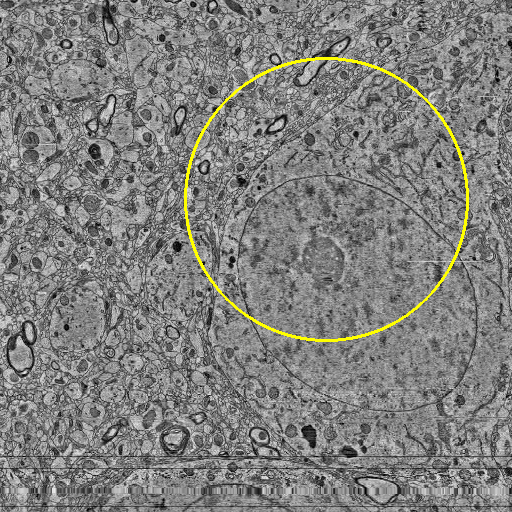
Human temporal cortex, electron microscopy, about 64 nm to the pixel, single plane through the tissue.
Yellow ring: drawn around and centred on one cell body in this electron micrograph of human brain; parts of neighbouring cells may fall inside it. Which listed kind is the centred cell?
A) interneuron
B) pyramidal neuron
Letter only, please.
B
